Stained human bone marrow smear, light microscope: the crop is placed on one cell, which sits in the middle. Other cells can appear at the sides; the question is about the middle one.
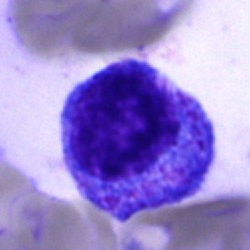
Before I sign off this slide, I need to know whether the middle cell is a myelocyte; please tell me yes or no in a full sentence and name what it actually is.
No, the middle cell is actually a promyelocyte rather than a myelocyte.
